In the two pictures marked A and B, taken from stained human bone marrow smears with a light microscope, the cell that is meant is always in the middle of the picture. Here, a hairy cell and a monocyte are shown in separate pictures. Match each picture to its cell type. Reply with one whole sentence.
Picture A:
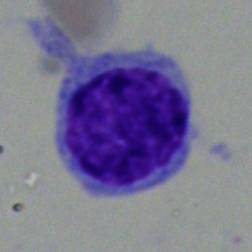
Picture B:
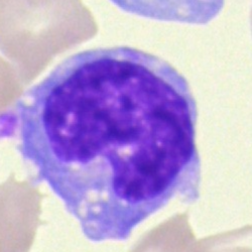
The cell in picture A is a hairy cell, and the one in picture B is a monocyte.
